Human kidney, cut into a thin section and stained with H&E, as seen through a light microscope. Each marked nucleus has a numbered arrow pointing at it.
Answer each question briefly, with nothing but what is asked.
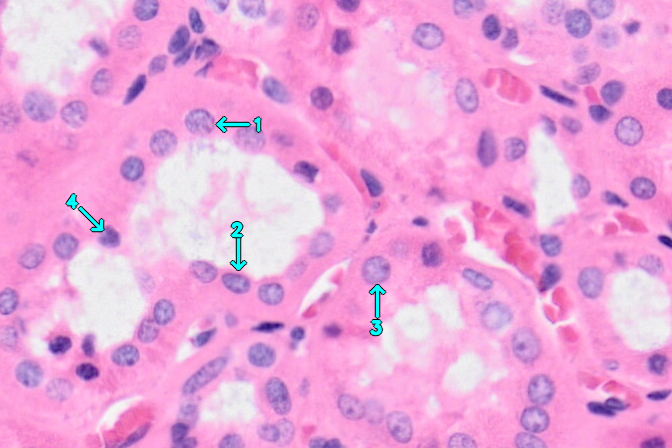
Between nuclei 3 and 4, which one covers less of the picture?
4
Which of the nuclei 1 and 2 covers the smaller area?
2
